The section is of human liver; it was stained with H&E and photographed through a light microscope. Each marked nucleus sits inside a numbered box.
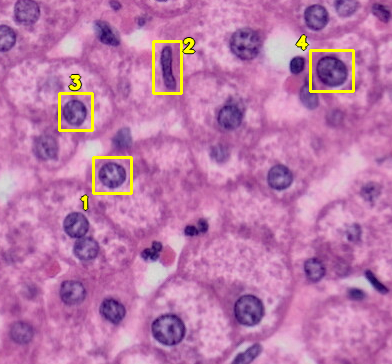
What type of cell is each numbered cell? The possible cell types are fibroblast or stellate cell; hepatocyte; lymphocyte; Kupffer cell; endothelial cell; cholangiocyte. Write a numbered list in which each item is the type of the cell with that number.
1. hepatocyte
2. Kupffer cell
3. hepatocyte
4. hepatocyte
